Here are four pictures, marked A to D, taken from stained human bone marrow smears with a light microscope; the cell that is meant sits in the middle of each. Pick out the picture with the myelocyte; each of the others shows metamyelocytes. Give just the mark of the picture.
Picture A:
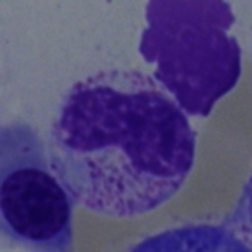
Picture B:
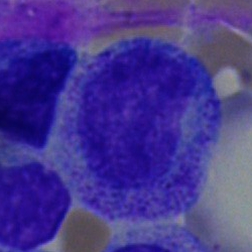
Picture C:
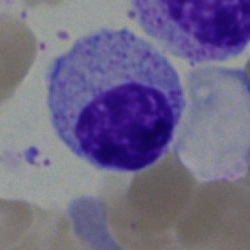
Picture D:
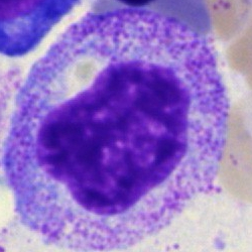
C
